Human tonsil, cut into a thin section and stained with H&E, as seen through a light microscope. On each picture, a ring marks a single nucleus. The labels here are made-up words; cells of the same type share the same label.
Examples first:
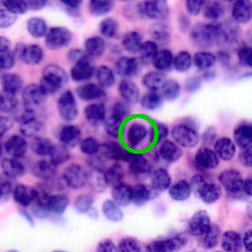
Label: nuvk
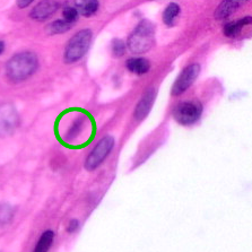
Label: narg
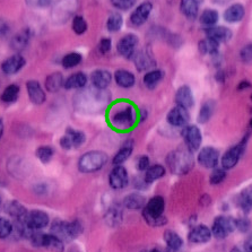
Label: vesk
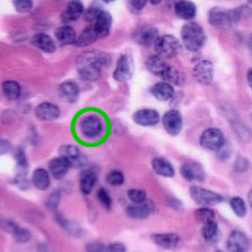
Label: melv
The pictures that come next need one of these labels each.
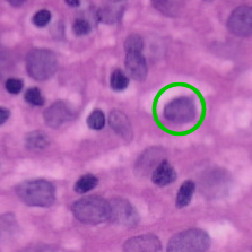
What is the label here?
narg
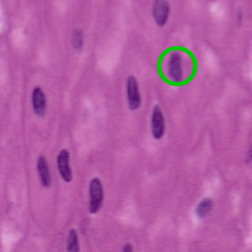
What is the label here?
narg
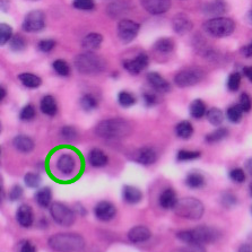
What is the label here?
melv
